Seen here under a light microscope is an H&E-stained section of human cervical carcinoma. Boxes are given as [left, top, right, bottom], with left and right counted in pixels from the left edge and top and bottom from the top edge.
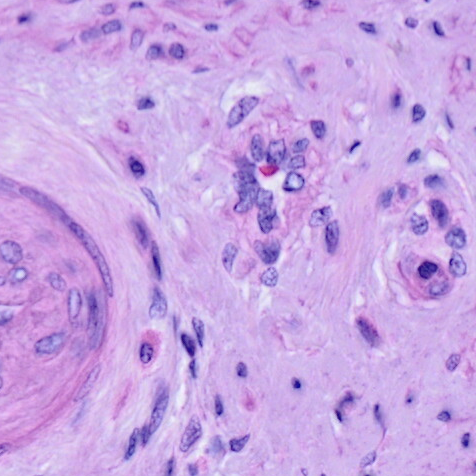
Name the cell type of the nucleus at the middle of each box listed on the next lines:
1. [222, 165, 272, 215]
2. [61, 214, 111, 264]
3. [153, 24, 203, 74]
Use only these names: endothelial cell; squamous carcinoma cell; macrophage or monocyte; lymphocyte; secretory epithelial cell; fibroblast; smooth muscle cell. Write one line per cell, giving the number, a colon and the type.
1: endothelial cell
2: smooth muscle cell
3: smooth muscle cell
